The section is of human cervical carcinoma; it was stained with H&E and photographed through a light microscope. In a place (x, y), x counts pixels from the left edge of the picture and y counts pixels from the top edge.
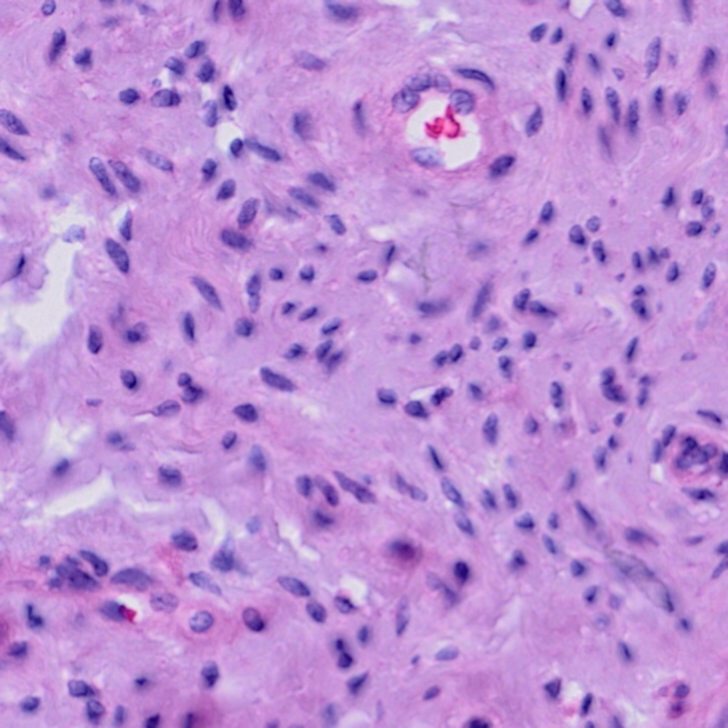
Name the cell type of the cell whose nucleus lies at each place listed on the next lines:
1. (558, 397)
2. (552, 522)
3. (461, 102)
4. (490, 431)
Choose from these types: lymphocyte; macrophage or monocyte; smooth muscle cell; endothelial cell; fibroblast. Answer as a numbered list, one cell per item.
1. fibroblast
2. fibroblast
3. endothelial cell
4. fibroblast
